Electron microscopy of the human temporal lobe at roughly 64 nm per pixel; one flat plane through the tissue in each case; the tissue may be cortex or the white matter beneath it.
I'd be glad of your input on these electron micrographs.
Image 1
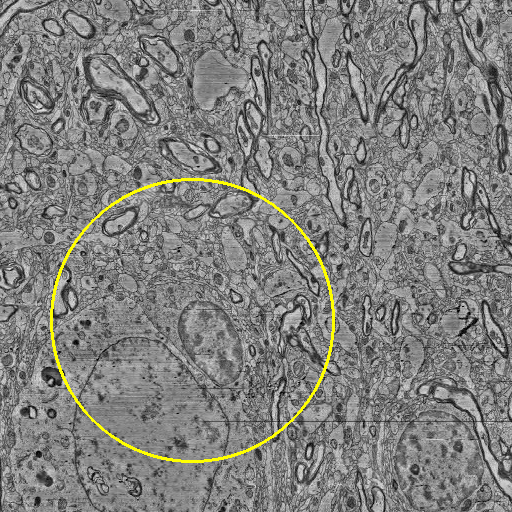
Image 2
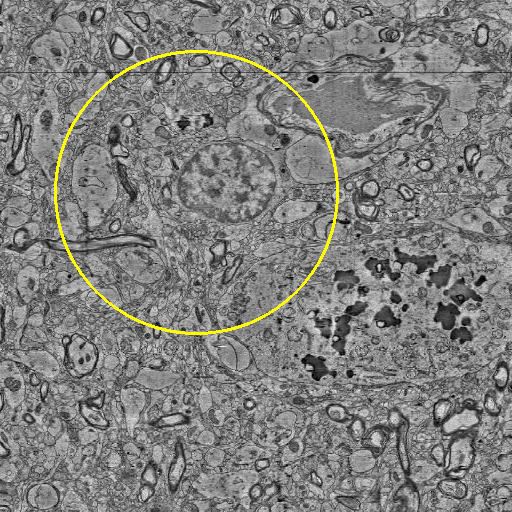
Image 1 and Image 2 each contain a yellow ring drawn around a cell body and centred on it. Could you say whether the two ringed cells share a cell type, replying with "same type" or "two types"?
same type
